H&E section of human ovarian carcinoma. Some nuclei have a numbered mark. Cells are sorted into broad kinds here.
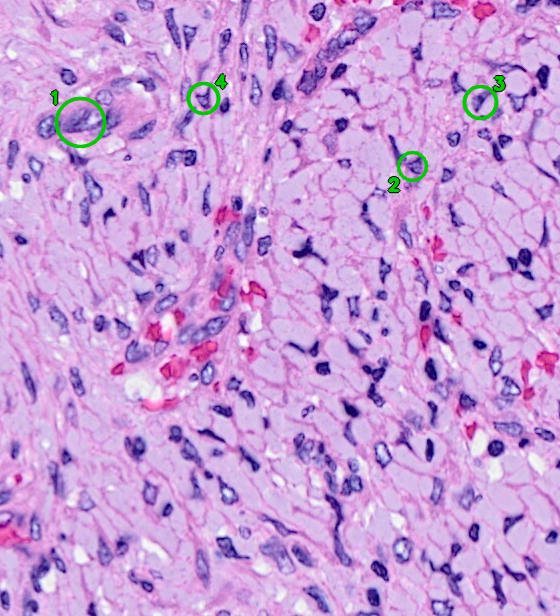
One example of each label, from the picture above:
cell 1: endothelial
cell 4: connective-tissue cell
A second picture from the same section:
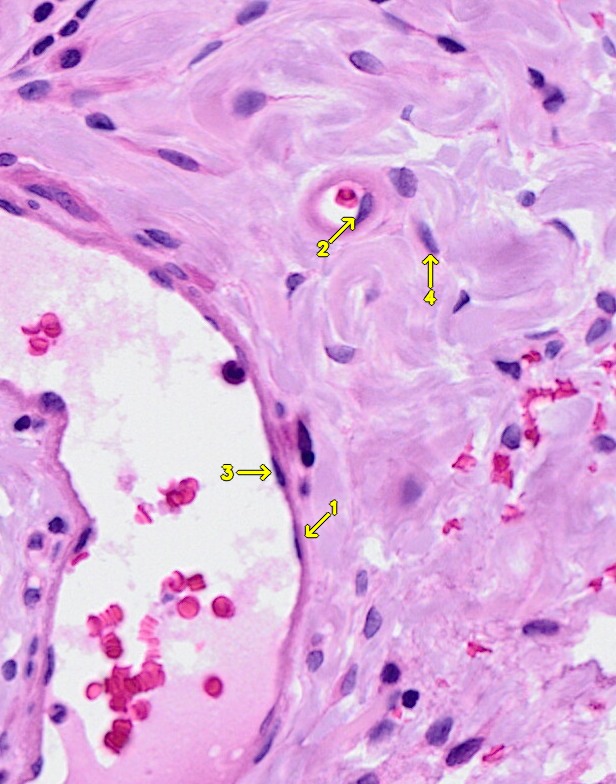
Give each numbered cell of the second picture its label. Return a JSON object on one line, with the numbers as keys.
{"1": "endothelial", "2": "endothelial", "3": "endothelial", "4": "connective-tissue cell"}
